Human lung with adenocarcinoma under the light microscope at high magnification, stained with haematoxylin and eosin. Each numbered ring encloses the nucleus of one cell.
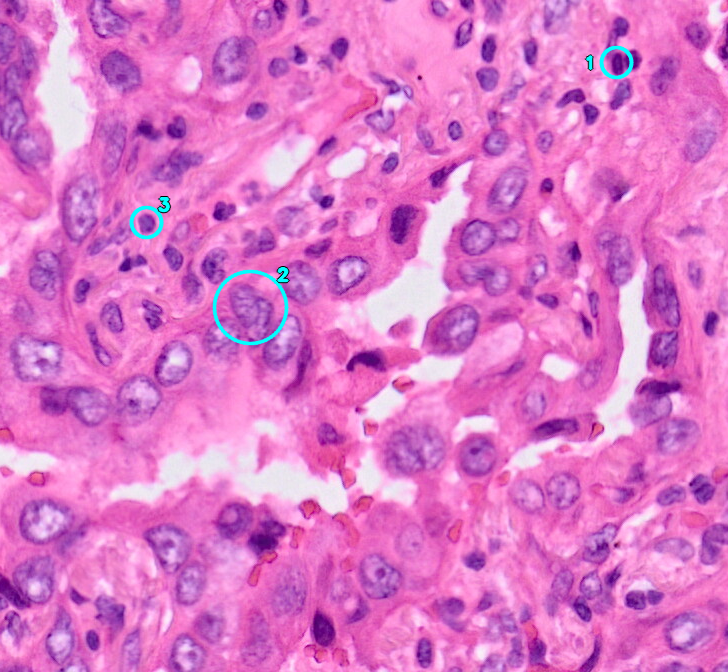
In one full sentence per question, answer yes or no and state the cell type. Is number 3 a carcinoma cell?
No; cell 3 is a lymphocyte, not a carcinoma cell.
